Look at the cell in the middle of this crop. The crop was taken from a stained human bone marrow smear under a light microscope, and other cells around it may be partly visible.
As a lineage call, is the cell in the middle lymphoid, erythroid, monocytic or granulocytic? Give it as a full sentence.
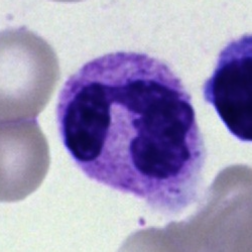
Of granulocytic lineage is the cell at the center of the crop.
